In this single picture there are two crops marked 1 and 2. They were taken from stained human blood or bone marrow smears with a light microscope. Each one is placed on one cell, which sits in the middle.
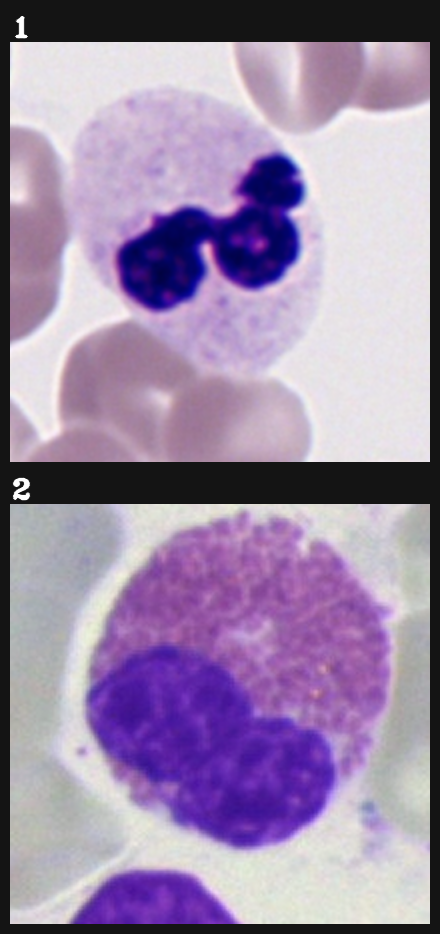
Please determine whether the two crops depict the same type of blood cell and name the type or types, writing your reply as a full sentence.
No, in crop 2 the central cell is an eosinophil, and in crop 1 it is a neutrophil.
